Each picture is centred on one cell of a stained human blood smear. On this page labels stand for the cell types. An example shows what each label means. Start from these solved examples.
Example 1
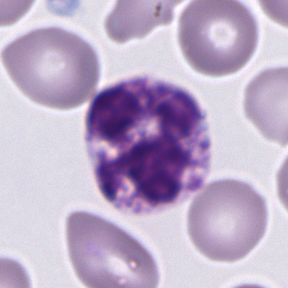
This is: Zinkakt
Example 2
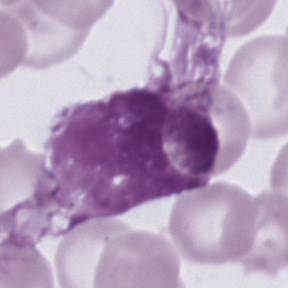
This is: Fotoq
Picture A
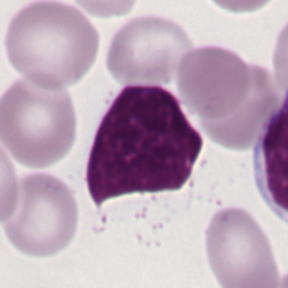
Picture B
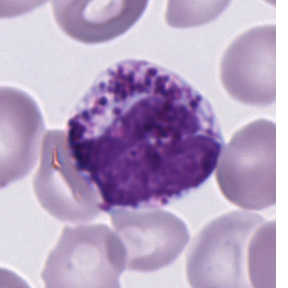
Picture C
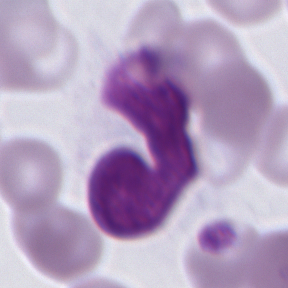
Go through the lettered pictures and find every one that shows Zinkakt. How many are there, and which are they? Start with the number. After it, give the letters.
Count: 1 (B)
